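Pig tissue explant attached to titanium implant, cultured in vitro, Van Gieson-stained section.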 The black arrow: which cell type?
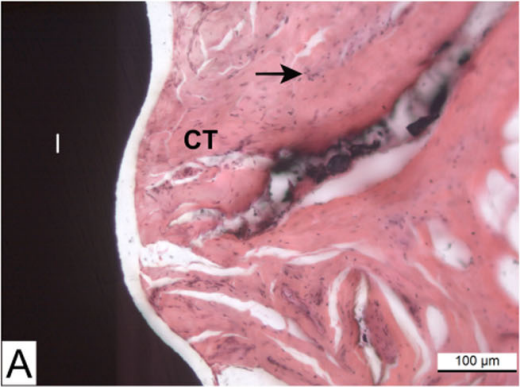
fibroblasts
